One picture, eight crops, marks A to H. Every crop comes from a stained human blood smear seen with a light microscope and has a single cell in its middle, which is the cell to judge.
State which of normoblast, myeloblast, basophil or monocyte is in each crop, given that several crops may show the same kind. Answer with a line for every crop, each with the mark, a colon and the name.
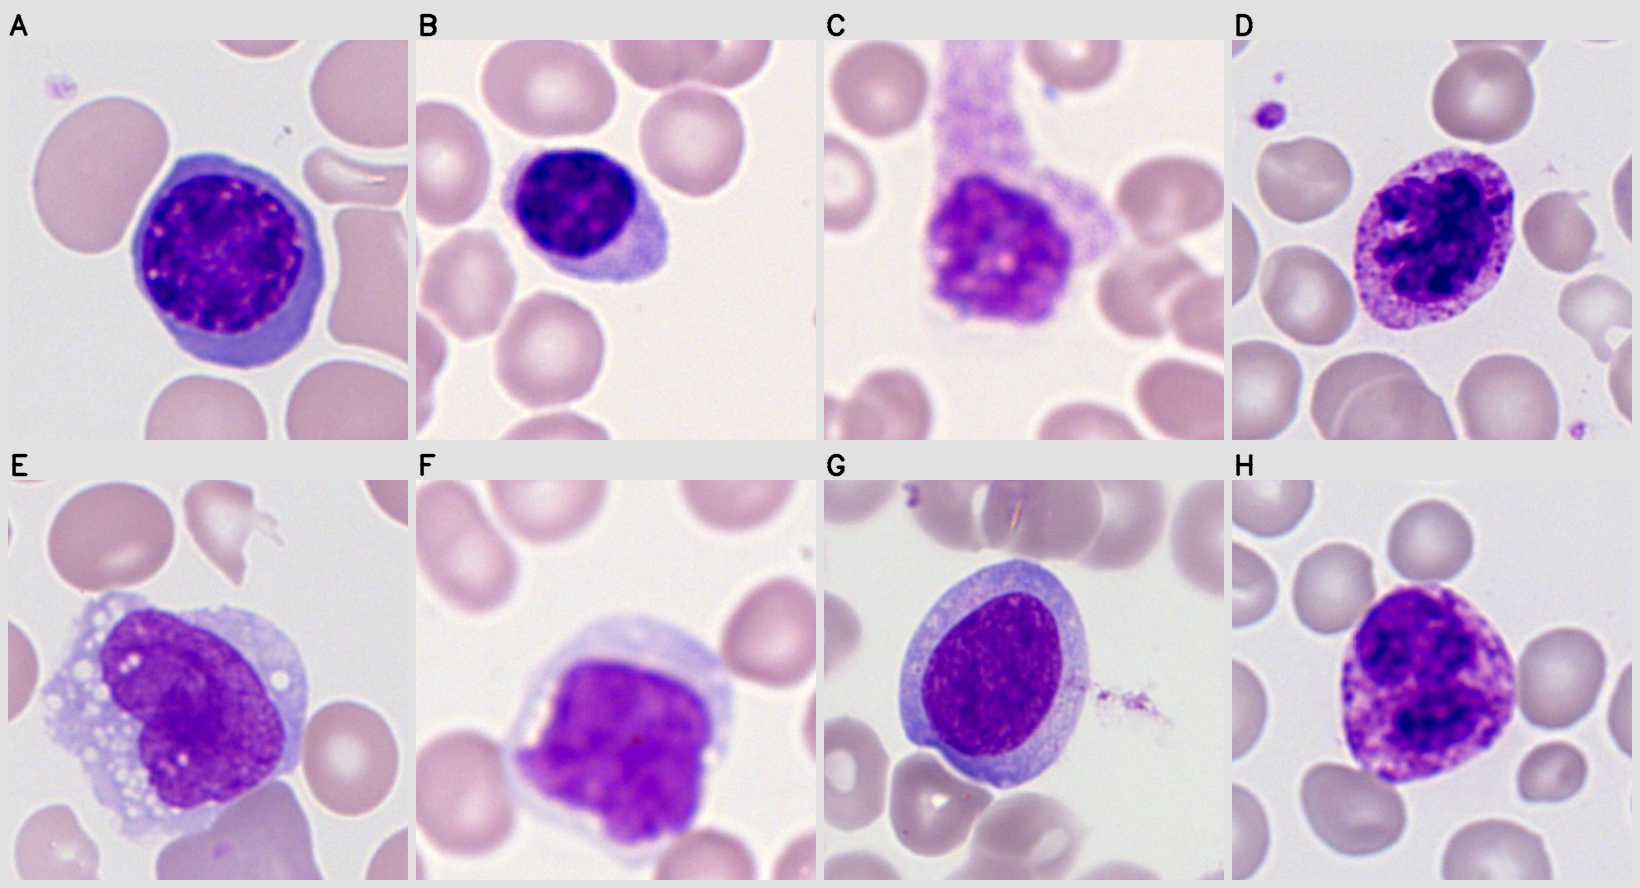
A: normoblast
B: normoblast
C: monocyte
D: basophil
E: monocyte
F: monocyte
G: myeloblast
H: basophil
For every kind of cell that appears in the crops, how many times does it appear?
monocyte: 3
normoblast: 2
basophil: 2
myeloblast: 1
